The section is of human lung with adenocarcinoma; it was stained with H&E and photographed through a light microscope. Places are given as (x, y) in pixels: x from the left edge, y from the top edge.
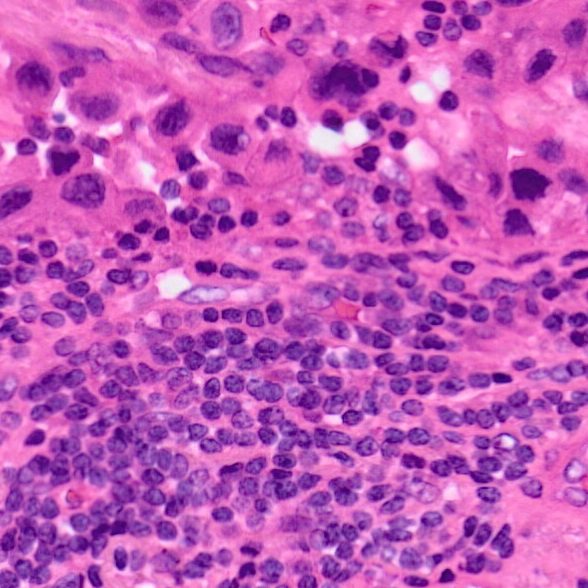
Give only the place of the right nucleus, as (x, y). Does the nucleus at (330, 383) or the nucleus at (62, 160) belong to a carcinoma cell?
(62, 160)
